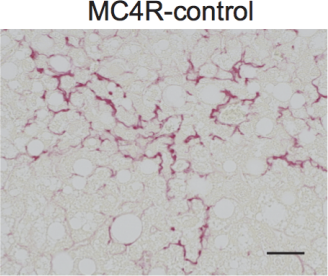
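Pale, unstained liver tissue crowded with round clear vacuoles of different sizes, crossed by a branching network of thin red strands running between the cells. The red threads connect across the field rather than staying around a single vessel. This is fatty liver with fibrosis.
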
